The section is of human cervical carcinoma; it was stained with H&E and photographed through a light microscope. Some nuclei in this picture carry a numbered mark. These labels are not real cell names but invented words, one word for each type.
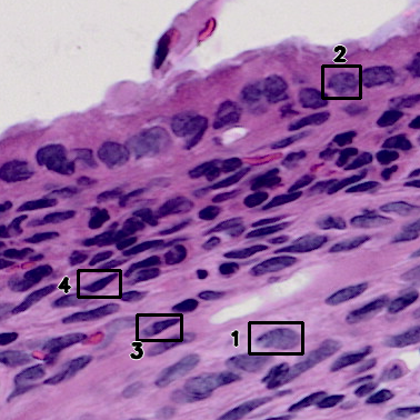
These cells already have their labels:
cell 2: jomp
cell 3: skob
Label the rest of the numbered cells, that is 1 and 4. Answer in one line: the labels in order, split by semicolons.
skob; skob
